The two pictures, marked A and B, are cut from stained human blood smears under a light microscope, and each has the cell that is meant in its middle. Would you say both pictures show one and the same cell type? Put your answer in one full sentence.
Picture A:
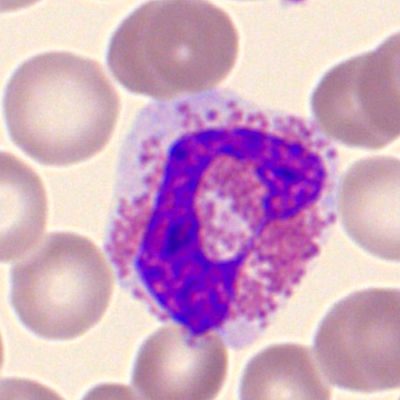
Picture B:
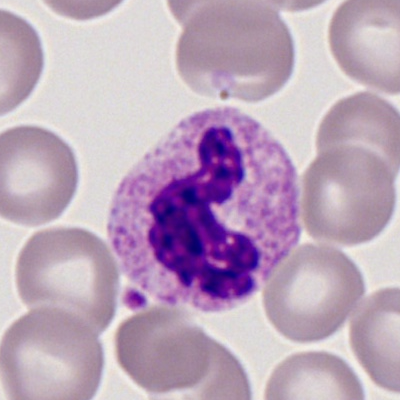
No. Picture A shows an eosinophil, but picture B shows a segmented neutrophil.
